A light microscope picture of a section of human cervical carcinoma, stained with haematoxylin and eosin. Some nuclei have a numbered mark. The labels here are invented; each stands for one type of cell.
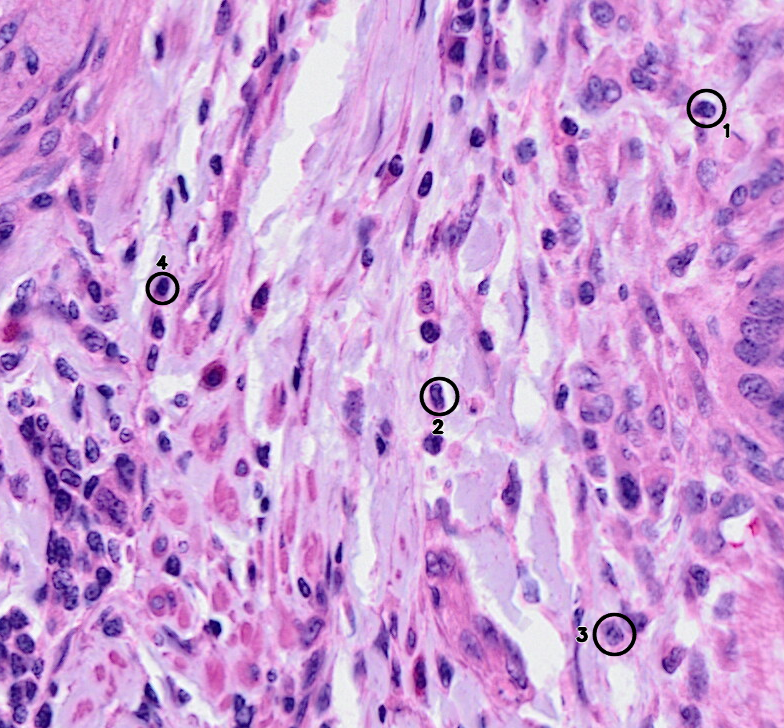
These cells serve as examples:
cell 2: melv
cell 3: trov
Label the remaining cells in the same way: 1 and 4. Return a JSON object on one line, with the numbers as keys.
{"1": "melv", "4": "melv"}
